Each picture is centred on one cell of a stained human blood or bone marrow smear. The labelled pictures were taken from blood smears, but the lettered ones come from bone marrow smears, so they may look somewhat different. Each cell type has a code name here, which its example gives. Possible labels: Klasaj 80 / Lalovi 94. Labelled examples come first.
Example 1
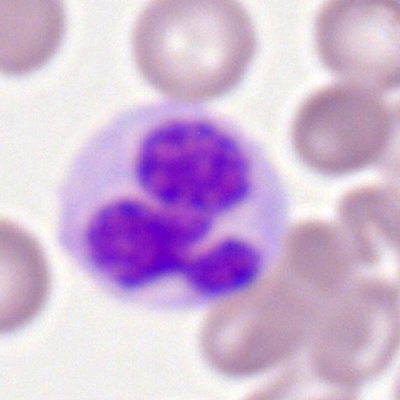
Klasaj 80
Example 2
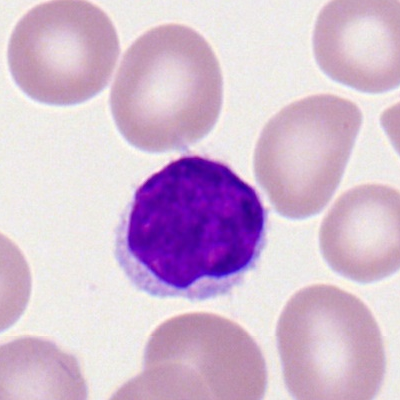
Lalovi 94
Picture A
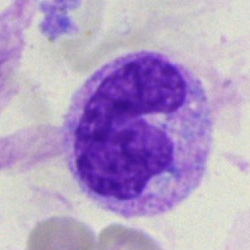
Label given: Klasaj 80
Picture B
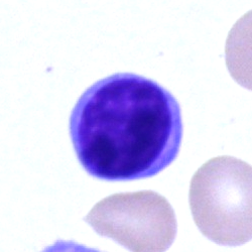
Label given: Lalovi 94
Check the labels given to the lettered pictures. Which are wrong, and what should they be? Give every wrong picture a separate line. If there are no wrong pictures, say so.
None of the labels needs changing.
